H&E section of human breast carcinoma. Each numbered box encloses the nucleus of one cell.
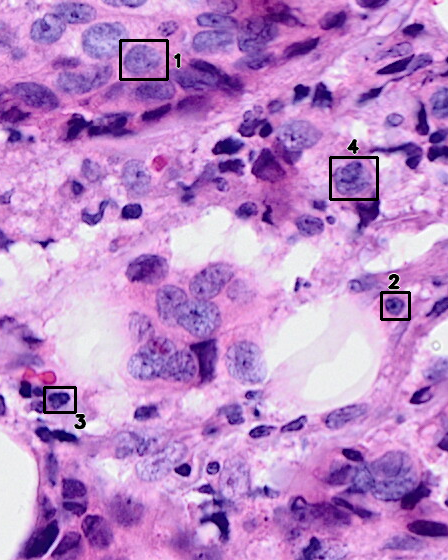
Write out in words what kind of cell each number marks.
Cell 1 is a carcinoma cell, cell 2 is a mast cell, cell 3 is a lymphocyte and cell 4 is a carcinoma cell.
